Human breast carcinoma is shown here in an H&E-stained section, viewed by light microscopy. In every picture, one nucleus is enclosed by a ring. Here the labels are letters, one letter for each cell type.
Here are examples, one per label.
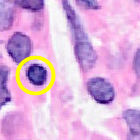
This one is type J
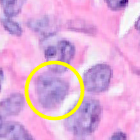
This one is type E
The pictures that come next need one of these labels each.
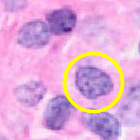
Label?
type E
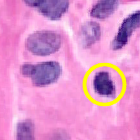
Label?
type J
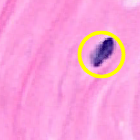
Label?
type J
